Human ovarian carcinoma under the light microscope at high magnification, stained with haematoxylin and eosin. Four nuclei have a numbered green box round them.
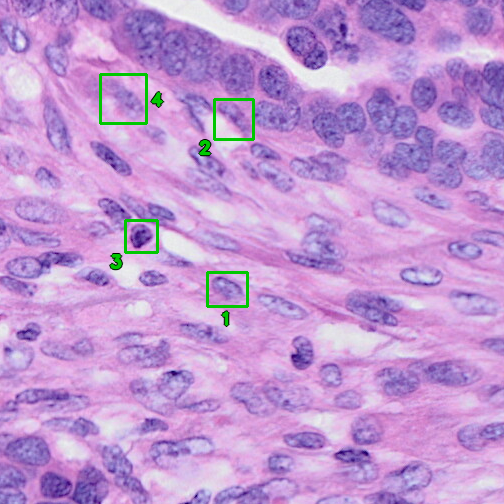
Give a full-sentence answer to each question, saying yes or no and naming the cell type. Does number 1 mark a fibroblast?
Yes, the numbered nucleus 1 is that of a fibroblast.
